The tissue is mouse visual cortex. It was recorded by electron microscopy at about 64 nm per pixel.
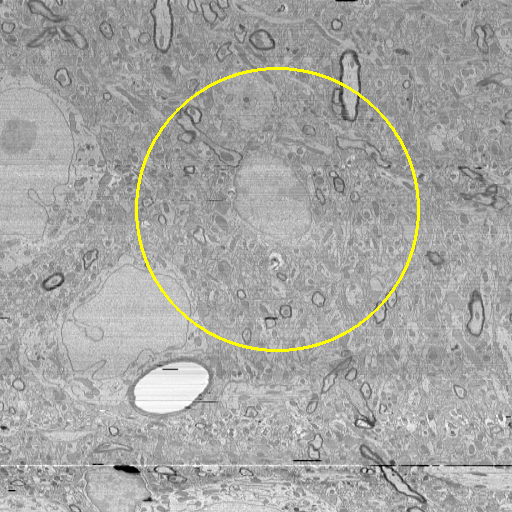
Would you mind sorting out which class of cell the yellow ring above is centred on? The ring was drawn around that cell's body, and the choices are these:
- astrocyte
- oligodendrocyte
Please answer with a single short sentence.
This is the cell body of an astrocyte.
